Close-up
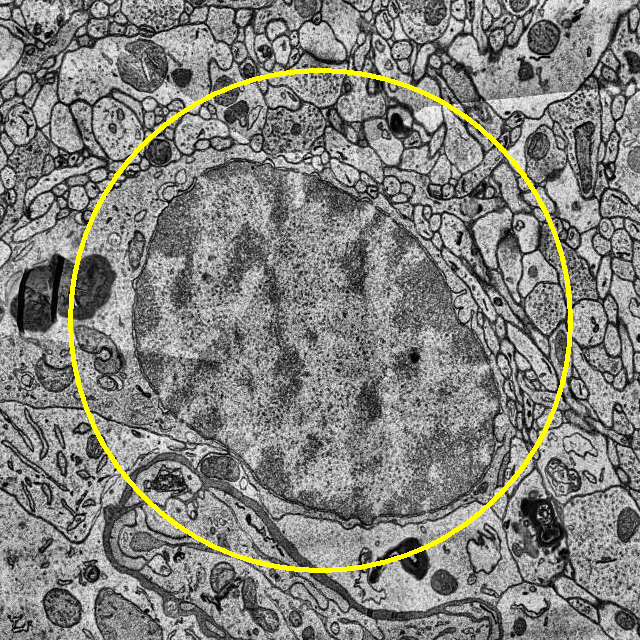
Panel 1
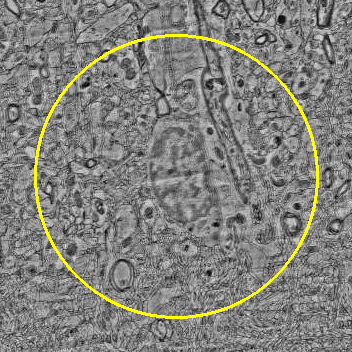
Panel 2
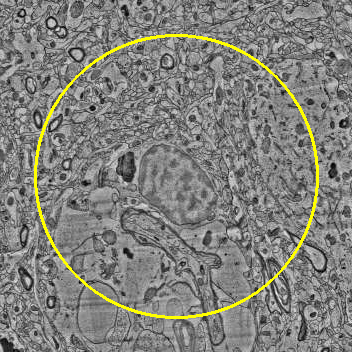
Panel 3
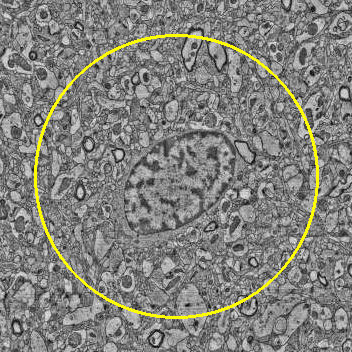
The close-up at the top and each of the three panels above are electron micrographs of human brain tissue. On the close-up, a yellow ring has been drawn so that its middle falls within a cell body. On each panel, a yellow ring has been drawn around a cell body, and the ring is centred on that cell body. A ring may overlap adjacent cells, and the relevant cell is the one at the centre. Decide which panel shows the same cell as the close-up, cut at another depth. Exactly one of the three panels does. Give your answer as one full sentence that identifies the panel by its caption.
The cell enlarged for the close-up is ringed in Panel 2.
